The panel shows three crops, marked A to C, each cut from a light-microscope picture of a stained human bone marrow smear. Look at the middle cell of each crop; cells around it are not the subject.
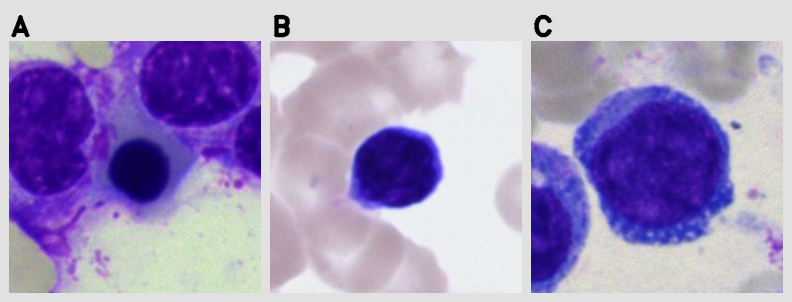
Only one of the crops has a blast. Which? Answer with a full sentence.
Among these crops, crop C holds a blast.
